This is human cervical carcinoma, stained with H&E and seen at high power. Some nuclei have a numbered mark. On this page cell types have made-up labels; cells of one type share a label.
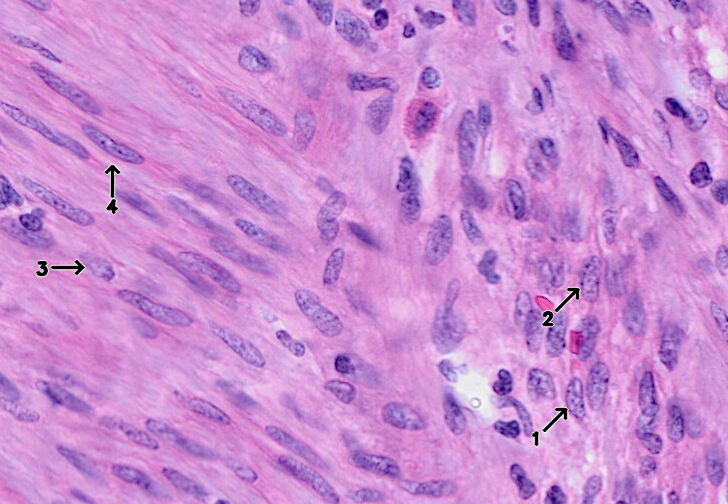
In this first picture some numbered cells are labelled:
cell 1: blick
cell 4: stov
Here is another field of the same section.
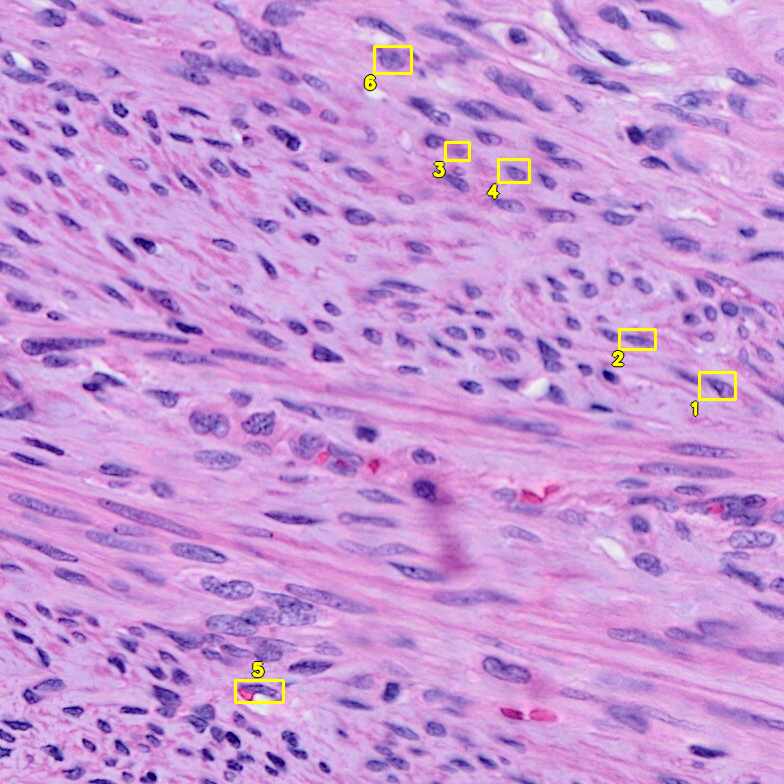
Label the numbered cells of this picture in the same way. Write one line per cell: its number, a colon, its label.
1: stov
2: stov
3: stov
4: stov
5: blick
6: blick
